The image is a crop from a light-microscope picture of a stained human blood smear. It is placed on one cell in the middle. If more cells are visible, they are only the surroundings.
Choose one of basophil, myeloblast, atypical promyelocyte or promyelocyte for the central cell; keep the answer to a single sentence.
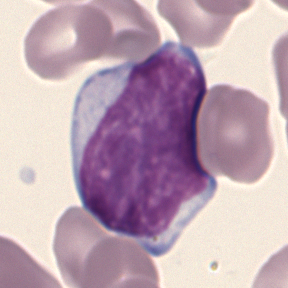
The centrally placed cell is classified as a myeloblast.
